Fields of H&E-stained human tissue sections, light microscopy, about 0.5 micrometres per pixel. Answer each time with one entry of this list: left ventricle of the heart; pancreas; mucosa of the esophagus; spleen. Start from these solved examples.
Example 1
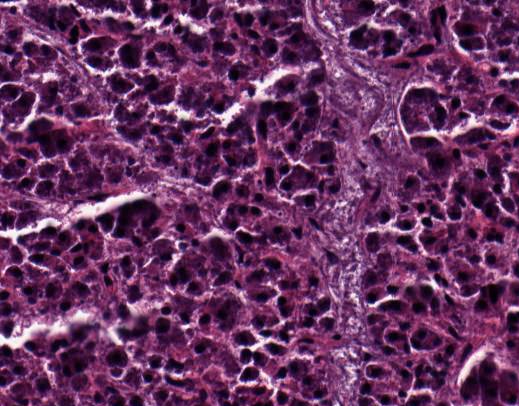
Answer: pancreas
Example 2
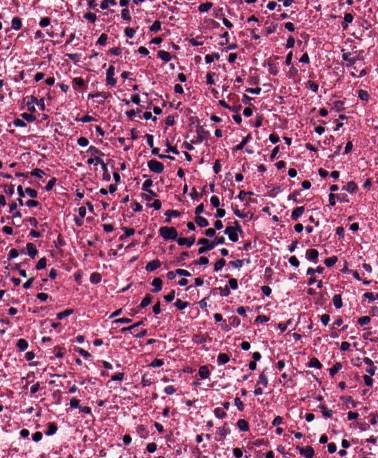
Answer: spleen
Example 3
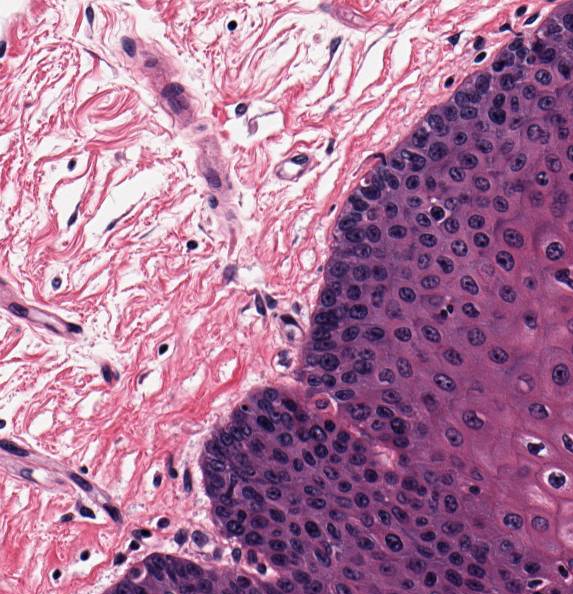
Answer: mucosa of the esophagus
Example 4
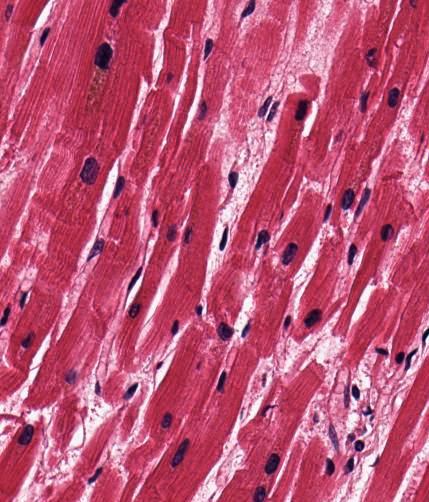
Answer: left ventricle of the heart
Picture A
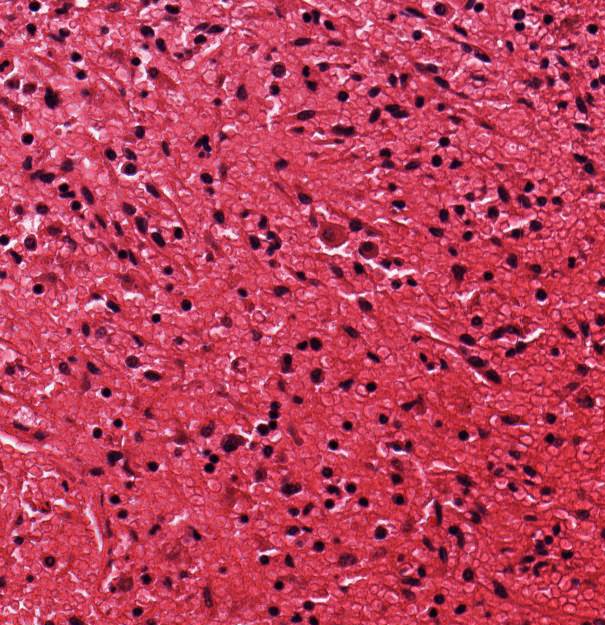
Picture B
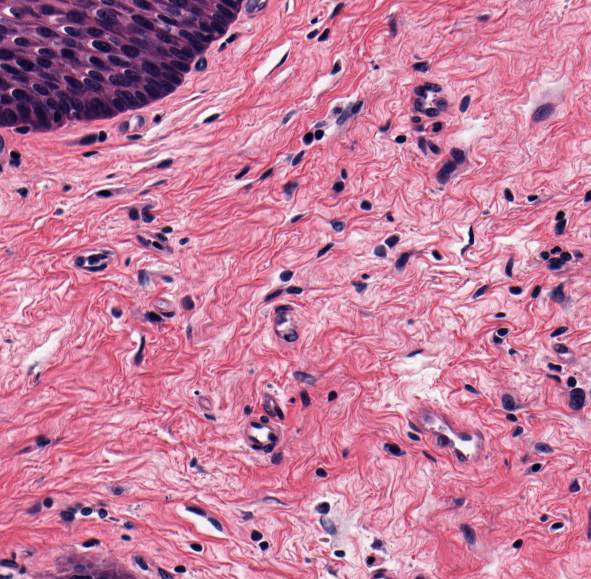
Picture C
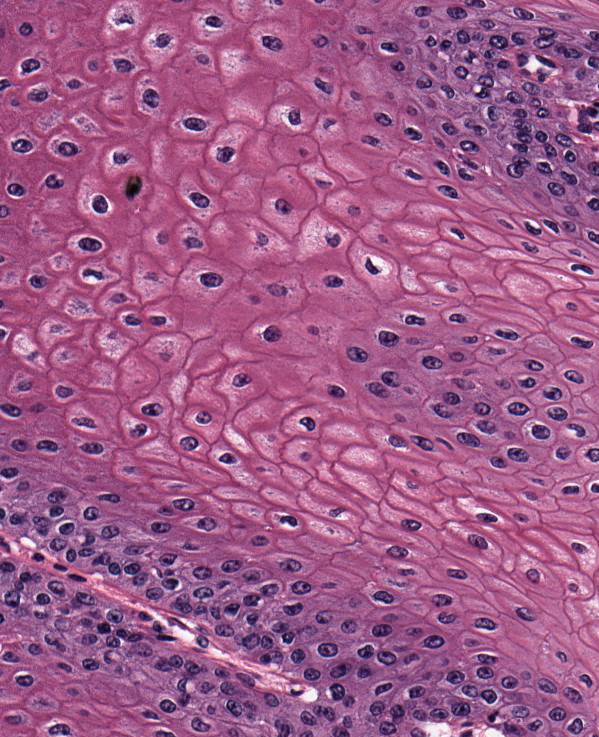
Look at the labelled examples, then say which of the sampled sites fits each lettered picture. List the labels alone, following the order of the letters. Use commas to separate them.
spleen, mucosa of the esophagus, mucosa of the esophagus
